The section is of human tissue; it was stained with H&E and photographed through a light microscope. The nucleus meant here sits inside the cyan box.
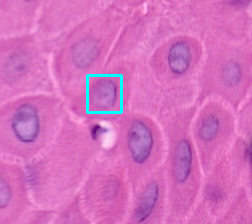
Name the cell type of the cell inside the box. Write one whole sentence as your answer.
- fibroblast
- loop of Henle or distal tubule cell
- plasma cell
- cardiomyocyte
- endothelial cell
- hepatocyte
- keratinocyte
It is a keratinocyte that the cell inside the box represents.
